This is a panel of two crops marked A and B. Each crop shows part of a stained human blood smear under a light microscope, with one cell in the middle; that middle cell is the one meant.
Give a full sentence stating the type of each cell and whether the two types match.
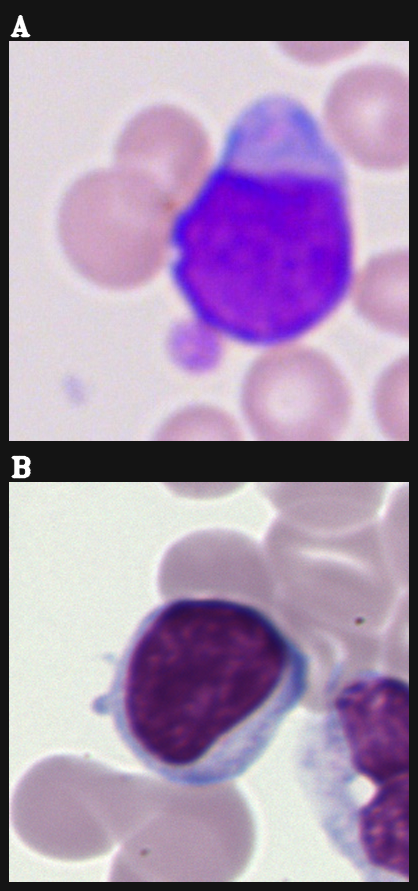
No, crop A has a blast in the middle, and crop B has a lymphocyte.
